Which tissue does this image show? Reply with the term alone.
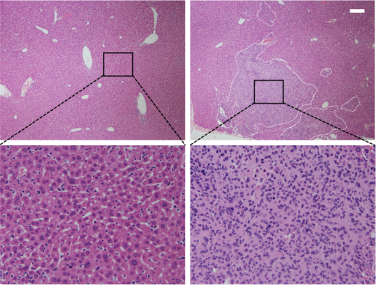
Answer: Livers.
